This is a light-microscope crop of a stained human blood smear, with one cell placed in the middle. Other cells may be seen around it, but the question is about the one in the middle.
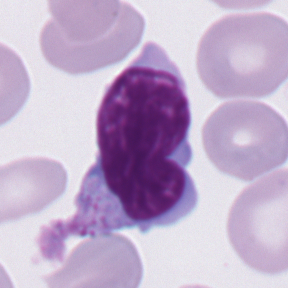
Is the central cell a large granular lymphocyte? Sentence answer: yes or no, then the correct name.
Yes, the cell in the middle is recognised as a large granular lymphocyte.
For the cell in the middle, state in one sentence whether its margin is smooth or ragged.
No smooth contour is present; the border is ragged or extended into projections.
